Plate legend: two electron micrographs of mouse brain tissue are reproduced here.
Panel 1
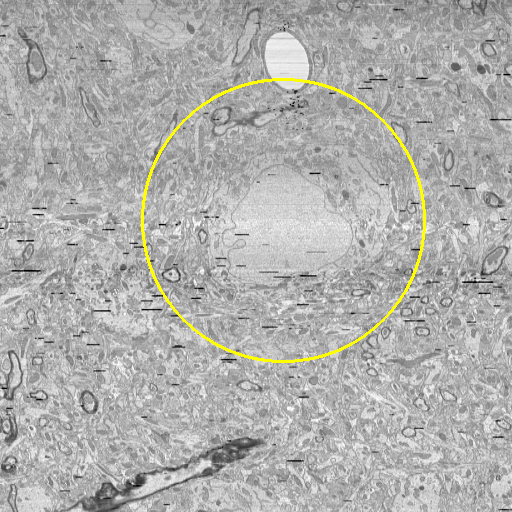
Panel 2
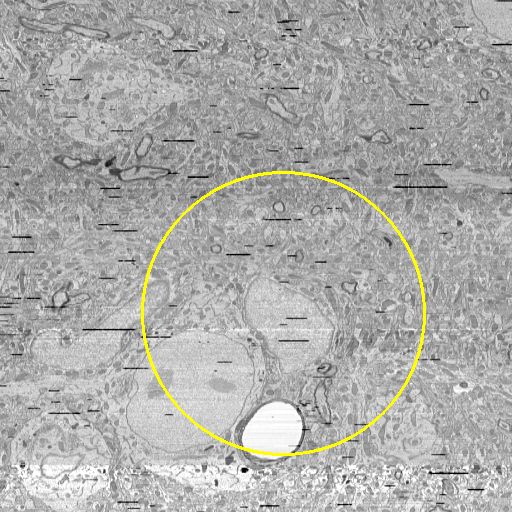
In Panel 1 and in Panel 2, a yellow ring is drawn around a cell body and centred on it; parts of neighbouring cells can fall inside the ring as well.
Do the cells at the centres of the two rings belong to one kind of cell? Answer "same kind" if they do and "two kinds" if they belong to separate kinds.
two kinds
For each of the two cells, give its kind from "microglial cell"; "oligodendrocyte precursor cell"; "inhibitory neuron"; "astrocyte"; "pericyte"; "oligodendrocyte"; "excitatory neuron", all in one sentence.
The first picture has an excitatory neuron in its ring, the second has an astrocyte.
